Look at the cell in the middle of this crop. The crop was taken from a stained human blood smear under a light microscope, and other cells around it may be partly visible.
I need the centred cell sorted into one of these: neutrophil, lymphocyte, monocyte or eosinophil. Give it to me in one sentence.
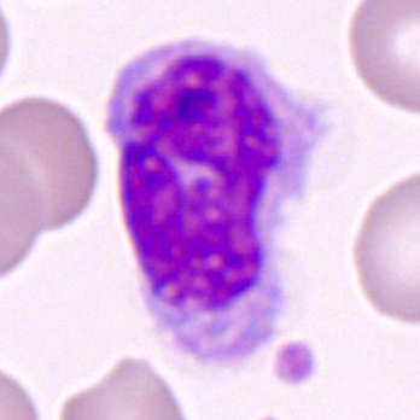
The cell at the heart of this crop is a monocyte.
